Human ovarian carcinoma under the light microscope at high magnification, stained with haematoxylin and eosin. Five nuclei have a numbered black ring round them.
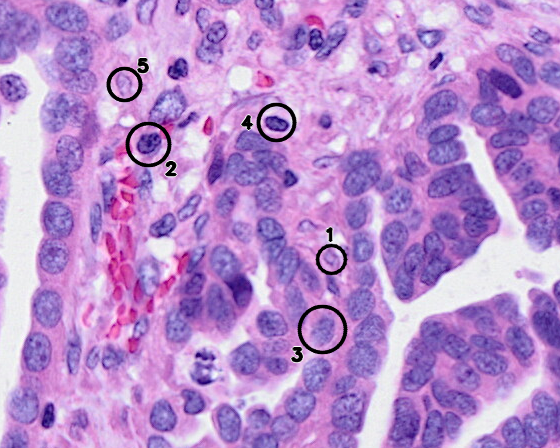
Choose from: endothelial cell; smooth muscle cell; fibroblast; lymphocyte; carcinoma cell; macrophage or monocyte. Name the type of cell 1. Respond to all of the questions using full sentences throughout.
The cell whose nucleus carries the number 1 is a fibroblast.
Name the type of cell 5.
The cell numbered 5 has been identified as a fibroblast.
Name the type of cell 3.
The one numbered 3 among the marked cells is a carcinoma cell.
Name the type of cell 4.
The identity of cell 4 is that of a lymphocyte.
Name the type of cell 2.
At number 2, the marked cell is a lymphocyte.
